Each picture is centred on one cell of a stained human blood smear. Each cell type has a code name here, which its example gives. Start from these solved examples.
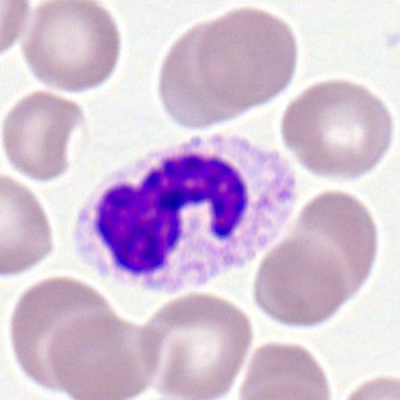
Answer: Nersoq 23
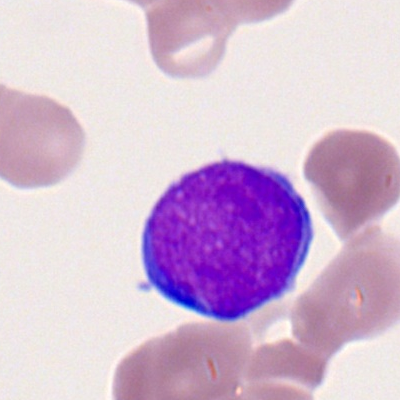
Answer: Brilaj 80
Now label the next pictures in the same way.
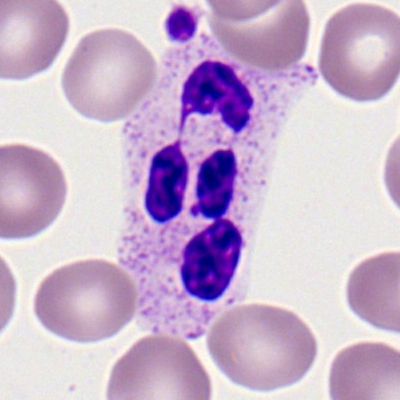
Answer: Nersoq 23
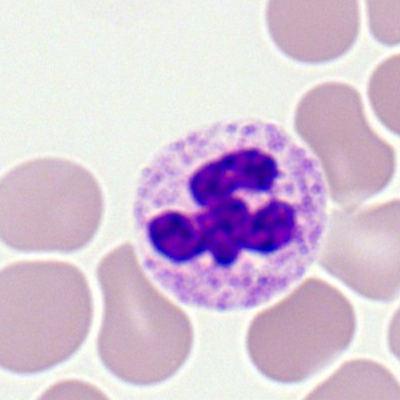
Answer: Nersoq 23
